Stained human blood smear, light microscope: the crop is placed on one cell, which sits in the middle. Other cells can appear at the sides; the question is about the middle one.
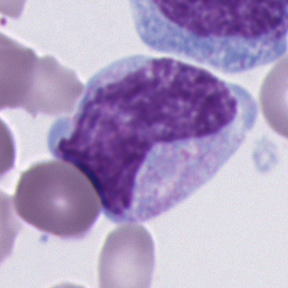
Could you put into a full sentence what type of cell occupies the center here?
What the crop centres on is a promyelocyte.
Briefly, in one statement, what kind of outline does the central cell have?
The outline of this cell is not smooth but ragged or drawn out into projections.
